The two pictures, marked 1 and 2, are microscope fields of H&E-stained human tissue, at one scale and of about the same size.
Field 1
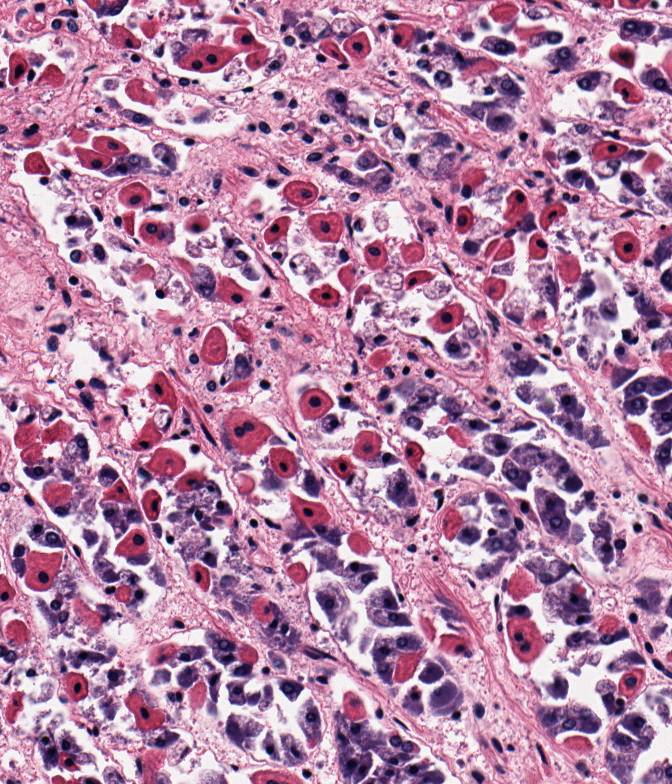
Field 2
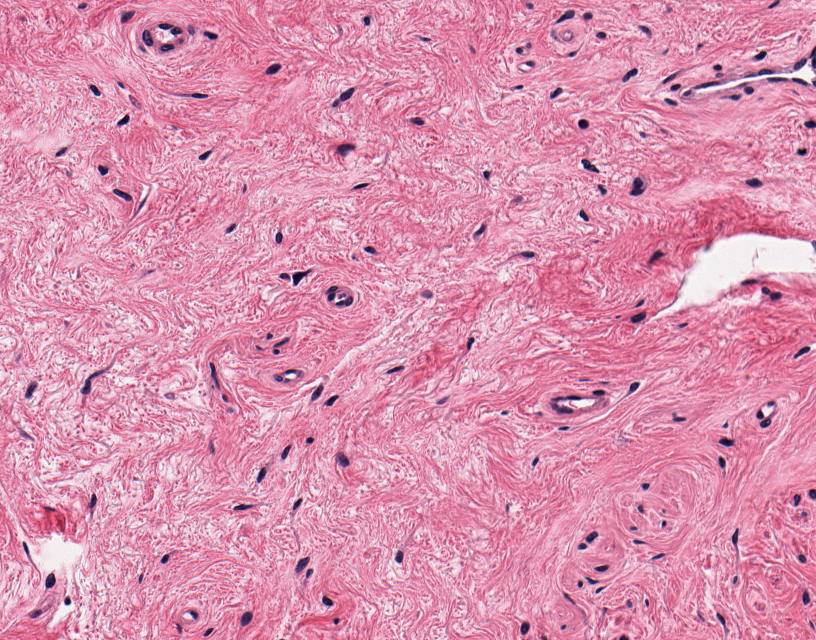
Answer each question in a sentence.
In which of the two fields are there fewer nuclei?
Fewer nuclei lie in field 2 than in field 1.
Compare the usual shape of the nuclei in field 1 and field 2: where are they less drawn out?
The nuclei are rounder in field 1.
